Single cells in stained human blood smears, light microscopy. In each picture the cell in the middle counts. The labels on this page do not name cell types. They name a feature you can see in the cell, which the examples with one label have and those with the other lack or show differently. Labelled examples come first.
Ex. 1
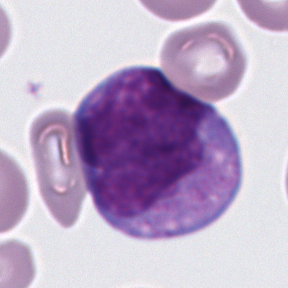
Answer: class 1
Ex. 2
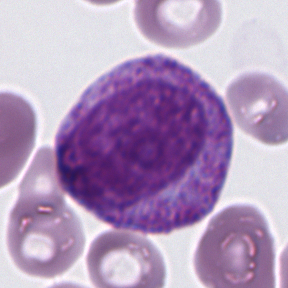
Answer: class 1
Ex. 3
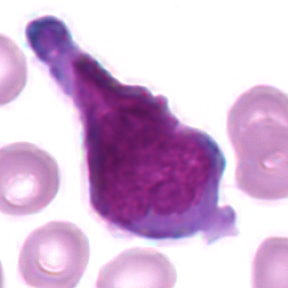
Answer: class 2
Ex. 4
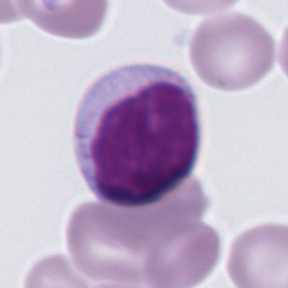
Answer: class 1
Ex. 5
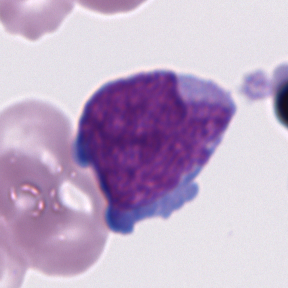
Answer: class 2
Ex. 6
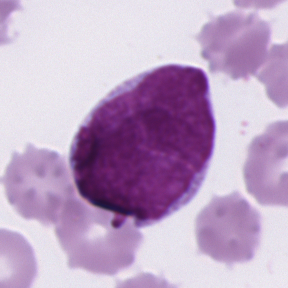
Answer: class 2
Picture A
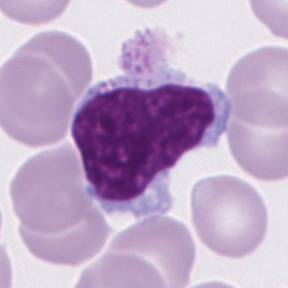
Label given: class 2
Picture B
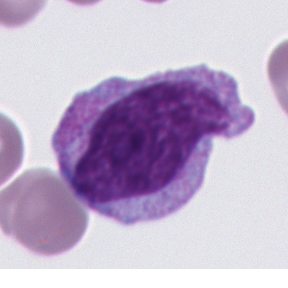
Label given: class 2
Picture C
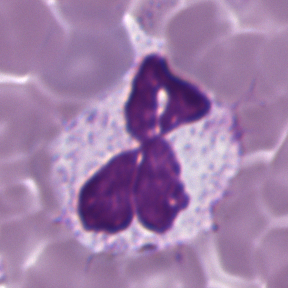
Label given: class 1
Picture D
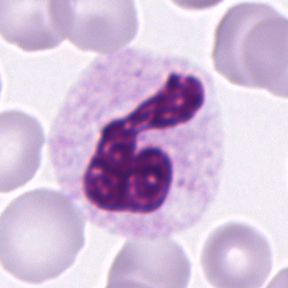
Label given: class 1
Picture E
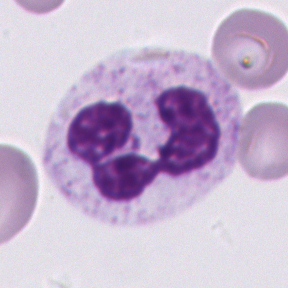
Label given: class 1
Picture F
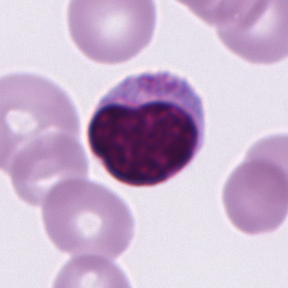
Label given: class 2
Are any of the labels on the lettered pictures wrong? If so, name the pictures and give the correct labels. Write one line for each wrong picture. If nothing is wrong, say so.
Wrong: C (class 1); correct: class 2
Wrong: F (class 2); correct: class 1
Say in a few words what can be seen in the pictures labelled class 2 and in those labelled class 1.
class 2, ragged outline or projections; class 1, smooth outline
